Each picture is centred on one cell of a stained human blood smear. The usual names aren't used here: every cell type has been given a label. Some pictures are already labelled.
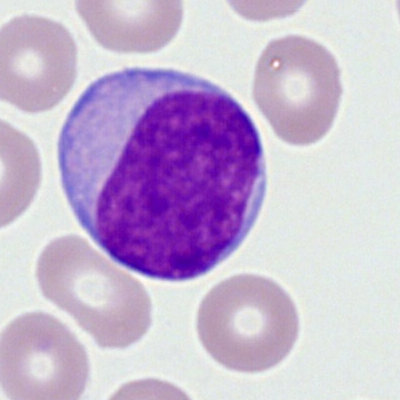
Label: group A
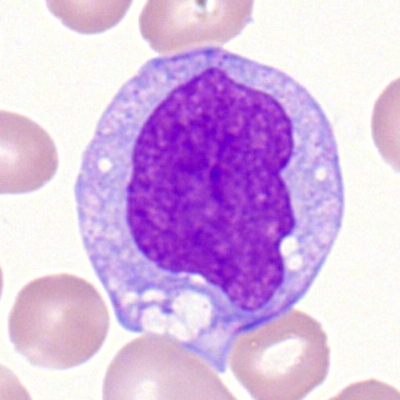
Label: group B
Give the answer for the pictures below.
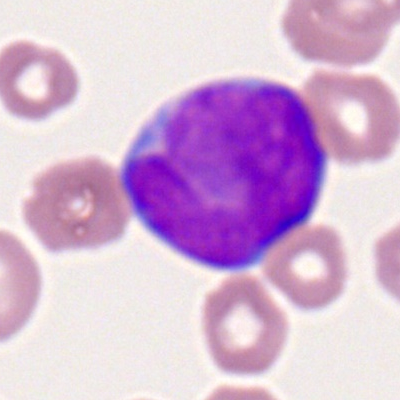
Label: group A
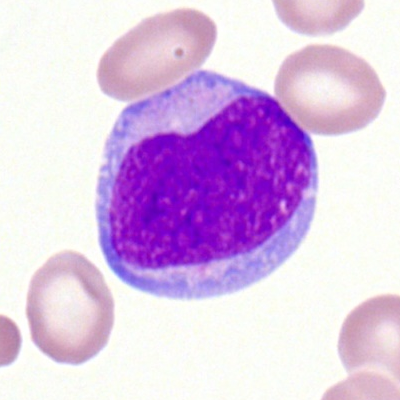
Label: group A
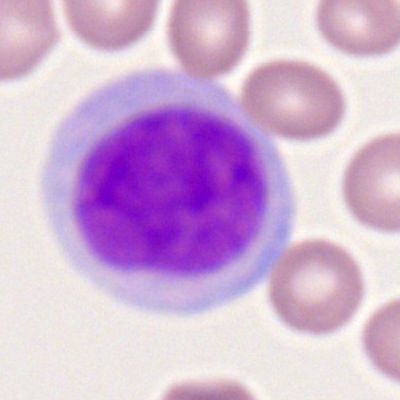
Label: group A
